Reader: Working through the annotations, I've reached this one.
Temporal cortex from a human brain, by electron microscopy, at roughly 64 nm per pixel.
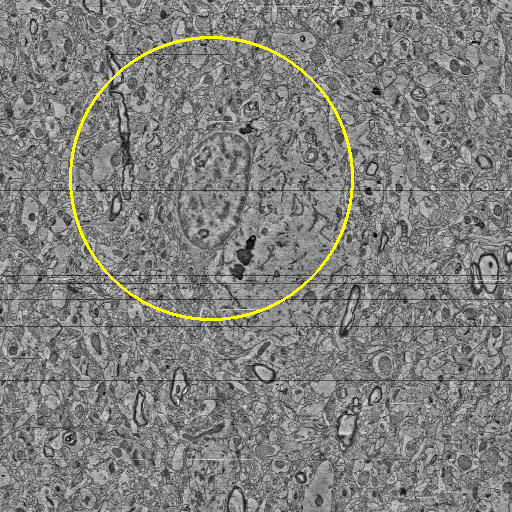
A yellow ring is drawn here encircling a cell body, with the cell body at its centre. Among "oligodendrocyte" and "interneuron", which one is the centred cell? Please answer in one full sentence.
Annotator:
The cell body at the centre of the yellow ring in this image belongs to an oligodendrocyte.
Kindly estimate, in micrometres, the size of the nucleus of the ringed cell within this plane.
Roughly 8 by 5 micrometres; in this plane, clearly longer than it is wide.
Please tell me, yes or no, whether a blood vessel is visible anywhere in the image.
No.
